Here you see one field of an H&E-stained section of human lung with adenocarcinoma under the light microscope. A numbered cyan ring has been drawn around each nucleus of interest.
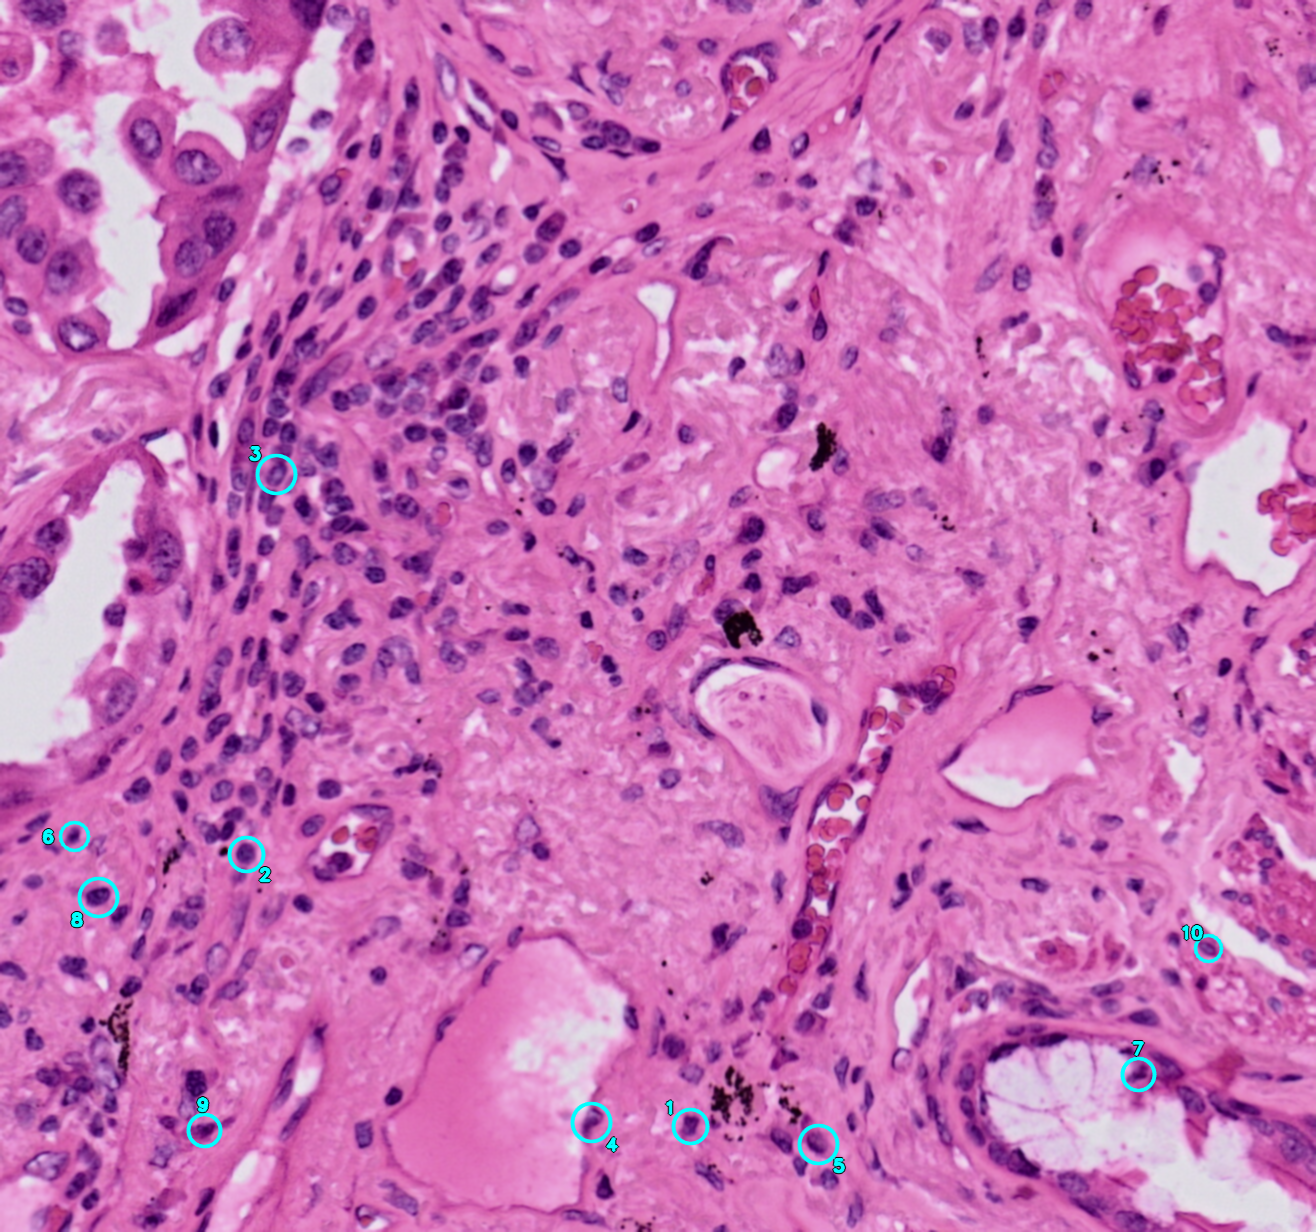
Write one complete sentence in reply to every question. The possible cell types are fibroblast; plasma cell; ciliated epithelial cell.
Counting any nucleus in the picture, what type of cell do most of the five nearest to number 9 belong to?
Fibroblasts make up most of the five nuclei closest to number 9.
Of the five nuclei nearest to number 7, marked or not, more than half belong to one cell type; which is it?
Of the five nuclei nearest to number 7, most belong to ciliated epithelial cells.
